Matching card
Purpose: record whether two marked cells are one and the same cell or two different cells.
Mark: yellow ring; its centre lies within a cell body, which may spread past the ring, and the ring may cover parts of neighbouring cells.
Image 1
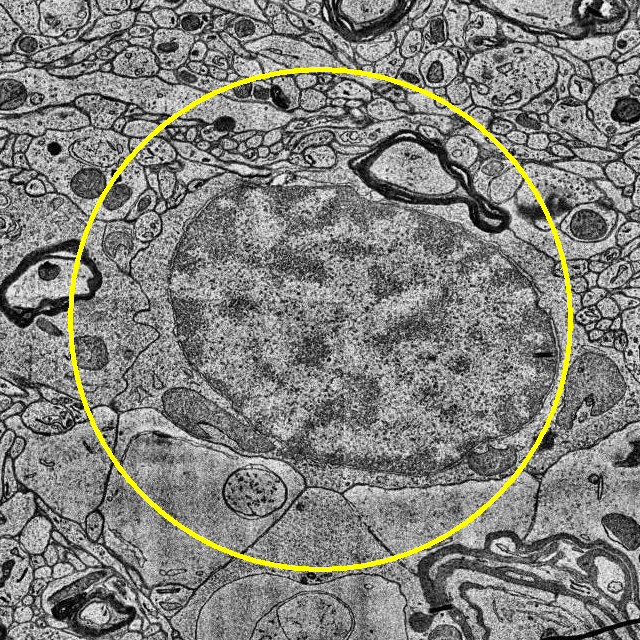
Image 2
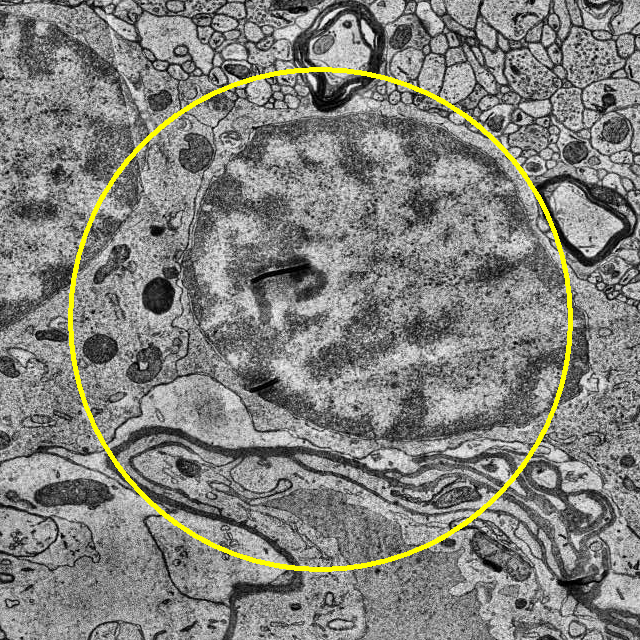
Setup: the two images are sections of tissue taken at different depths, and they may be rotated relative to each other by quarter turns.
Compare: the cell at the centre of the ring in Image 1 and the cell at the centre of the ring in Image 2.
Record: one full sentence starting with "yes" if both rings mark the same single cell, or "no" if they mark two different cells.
Yes, both rings are placed on a single cell.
